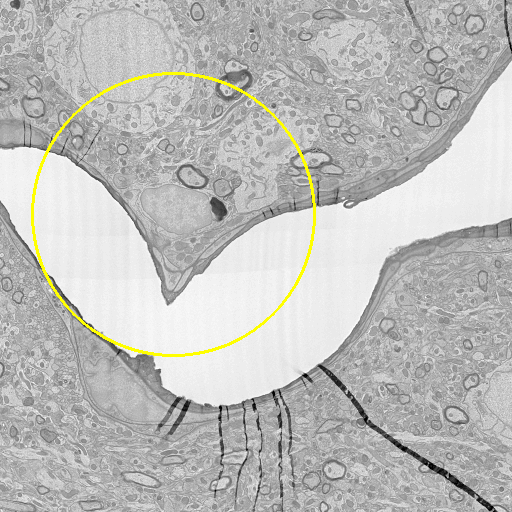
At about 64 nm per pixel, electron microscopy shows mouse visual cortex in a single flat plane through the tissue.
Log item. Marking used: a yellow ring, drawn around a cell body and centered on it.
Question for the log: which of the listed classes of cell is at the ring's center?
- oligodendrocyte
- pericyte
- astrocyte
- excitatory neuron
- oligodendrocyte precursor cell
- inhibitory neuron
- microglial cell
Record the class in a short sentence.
At the center of the ring lies a microglial cell.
